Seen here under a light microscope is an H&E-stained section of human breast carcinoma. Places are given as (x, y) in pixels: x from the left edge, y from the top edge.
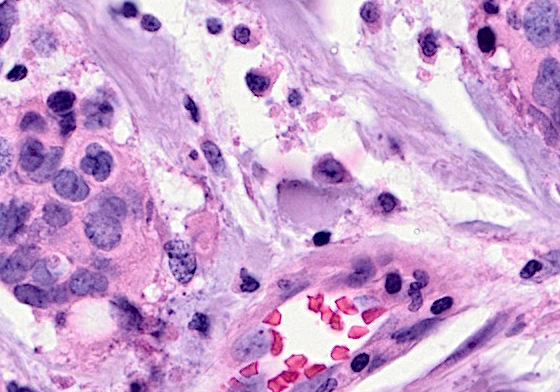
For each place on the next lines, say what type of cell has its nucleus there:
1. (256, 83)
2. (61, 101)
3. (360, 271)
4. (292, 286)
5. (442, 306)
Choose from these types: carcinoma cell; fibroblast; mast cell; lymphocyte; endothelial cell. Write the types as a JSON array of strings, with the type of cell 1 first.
["mast cell", "carcinoma cell", "endothelial cell", "endothelial cell", "lymphocyte"]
